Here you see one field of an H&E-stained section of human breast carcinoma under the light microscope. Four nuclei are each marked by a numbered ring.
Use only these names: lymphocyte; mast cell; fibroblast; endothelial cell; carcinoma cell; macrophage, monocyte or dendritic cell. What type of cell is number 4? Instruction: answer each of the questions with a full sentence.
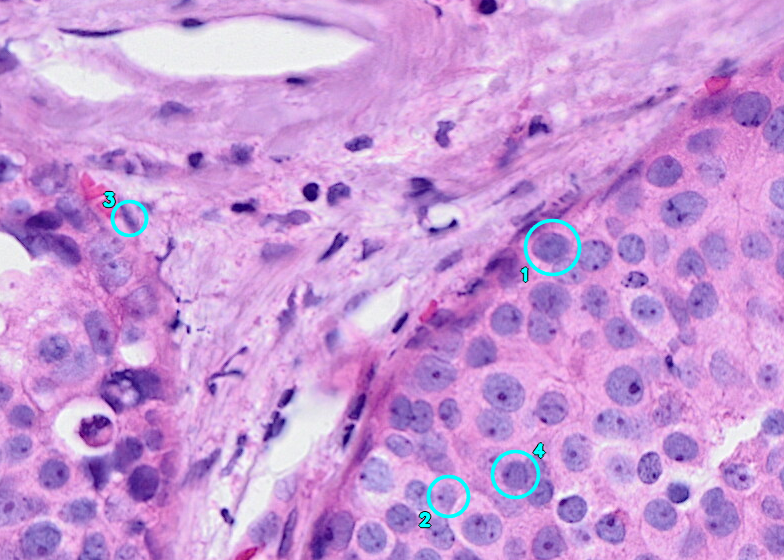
The cell that goes by number 4 is a carcinoma cell.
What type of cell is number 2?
Numbered cell 2 is a carcinoma cell in this tissue section.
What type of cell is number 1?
The cell with the number 1 is a carcinoma cell.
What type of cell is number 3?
Here the cell numbered 3 is an endothelial cell.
